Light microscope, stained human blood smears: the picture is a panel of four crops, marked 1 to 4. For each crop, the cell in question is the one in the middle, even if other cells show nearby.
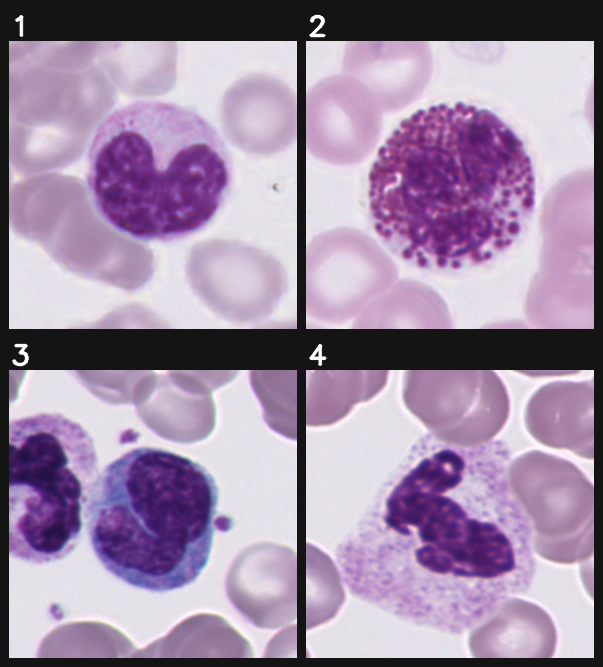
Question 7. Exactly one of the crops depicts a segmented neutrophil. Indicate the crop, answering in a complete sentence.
Crop 4, of the crops presented, is the one showing a segmented neutrophil.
